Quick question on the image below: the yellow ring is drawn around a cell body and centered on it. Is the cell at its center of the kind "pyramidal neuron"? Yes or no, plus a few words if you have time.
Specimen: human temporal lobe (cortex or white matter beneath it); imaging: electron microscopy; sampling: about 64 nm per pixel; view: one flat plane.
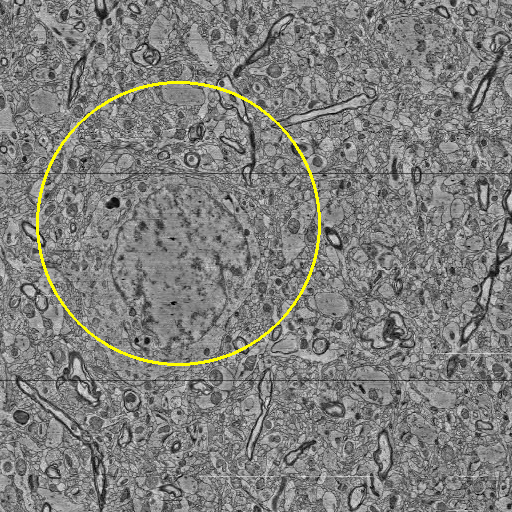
No, the cell at the center is of another kind.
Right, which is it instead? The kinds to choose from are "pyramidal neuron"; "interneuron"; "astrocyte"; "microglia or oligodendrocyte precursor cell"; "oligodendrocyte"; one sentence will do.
The cell in the ring is an interneuron instead.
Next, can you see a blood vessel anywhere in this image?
No, a blood vessel is absent from this picture.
